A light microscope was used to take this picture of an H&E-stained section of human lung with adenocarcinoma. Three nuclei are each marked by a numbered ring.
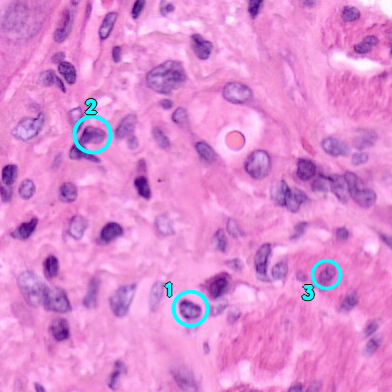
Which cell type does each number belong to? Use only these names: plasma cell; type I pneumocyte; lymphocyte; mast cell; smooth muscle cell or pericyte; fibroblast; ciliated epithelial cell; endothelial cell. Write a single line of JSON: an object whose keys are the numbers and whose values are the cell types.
{"1": "mast cell", "2": "lymphocyte", "3": "smooth muscle cell or pericyte"}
